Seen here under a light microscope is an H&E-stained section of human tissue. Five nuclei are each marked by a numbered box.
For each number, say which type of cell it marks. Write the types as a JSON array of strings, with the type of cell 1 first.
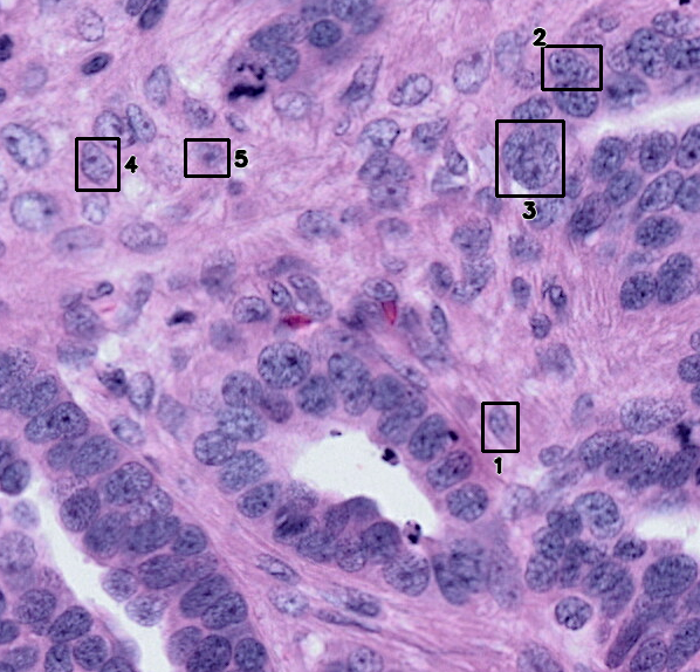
["fibroblast", "carcinoma cell", "carcinoma cell", "fibroblast", "fibroblast"]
